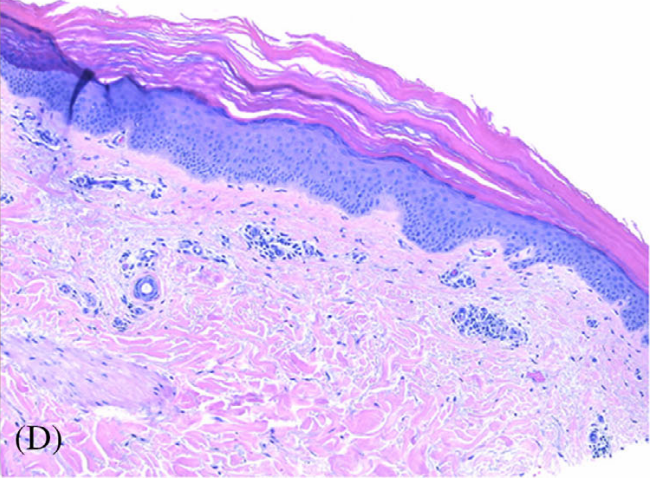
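Skin section in which the epidermis is thickened, with many rows of purple-stained keratinocytes and a slightly undulating lower border with short downward projections. On top lies a broad, compact layer of pink keratin arranged in wavy, stacked lamellae, about as thick as the living epidermis or thicker. The dermis below consists of pink collagen bundles with scattered small vessels. Around a few of these superficial vessels sit small, well-separated clusters of dark round nuclei of lymphocytes, forming a sparse infiltrate rather than a dense band. A small hair follicle or adnexal cross-section is seen in the dermis.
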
